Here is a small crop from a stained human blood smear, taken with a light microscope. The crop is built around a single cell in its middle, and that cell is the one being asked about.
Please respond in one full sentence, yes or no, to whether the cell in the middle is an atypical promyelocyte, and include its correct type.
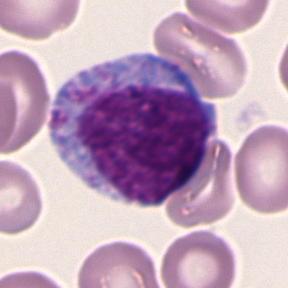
No, the cell in the middle is a myelocyte, not an atypical promyelocyte.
